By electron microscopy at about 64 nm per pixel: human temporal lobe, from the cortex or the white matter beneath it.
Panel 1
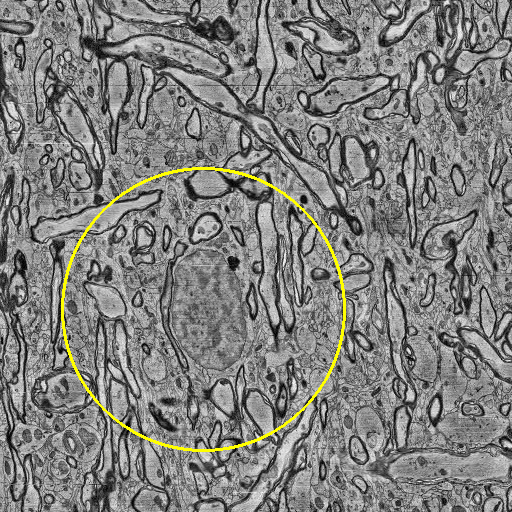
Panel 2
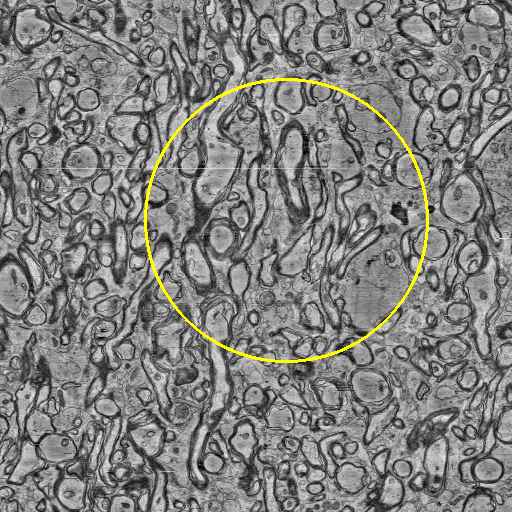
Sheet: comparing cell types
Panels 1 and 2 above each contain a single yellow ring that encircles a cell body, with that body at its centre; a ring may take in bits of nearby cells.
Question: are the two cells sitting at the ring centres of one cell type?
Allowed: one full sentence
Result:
Yes, the ring-centre cells in Panel 1 and Panel 2 are of one type.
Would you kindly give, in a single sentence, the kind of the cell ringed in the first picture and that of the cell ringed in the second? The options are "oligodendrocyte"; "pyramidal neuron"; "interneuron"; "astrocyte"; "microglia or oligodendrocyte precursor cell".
Both pictures show an oligodendrocyte at the centre of the ring.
